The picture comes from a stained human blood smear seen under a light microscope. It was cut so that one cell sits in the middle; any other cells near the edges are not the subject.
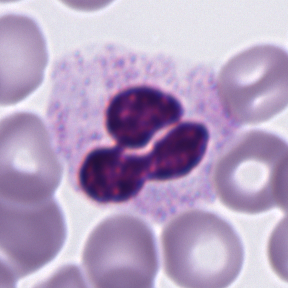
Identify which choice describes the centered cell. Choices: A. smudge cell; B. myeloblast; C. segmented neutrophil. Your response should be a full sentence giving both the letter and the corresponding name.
With the cell in the middle being a segmented neutrophil, option C is the correct choice.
